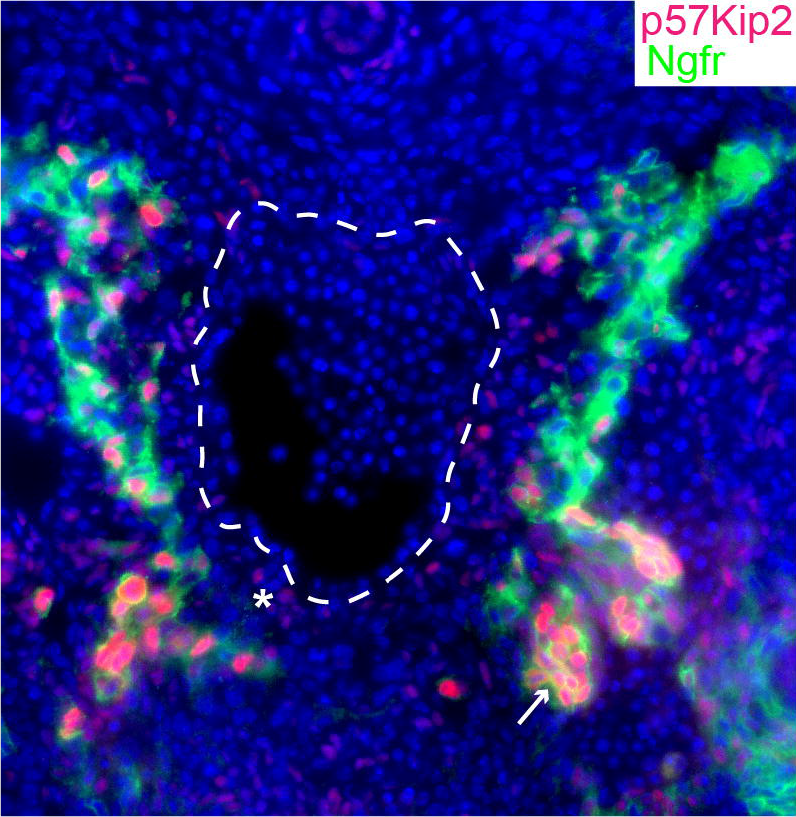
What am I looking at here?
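This section shows the aorta in the middle with streams of cells on either side of it. The aorta is a large rounded lumen containing scattered blue nuclei and surrounded by a dense field of blue-nucleated mesenchyme. On both flanks run bands of green-outlined cells, many of which also hold red nuclei, giving a yellow-orange look where the colours meet. The tissue directly beneath the aortic wall is crowded with nuclei but shows little green.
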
